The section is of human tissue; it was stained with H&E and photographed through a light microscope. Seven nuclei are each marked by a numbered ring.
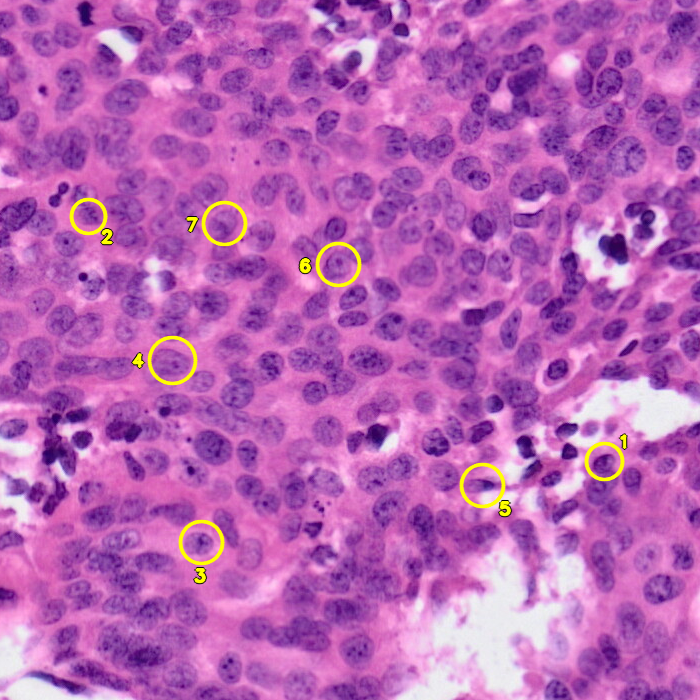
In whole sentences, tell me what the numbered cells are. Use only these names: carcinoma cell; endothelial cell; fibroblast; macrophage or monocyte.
Cell 1 is a macrophage or monocyte, cell 2 is an endothelial cell, cell 3 is a macrophage or monocyte, cell 4 is a carcinoma cell, cell 5 is a macrophage or monocyte, cell 6 is a carcinoma cell and cell 7 is a carcinoma cell.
